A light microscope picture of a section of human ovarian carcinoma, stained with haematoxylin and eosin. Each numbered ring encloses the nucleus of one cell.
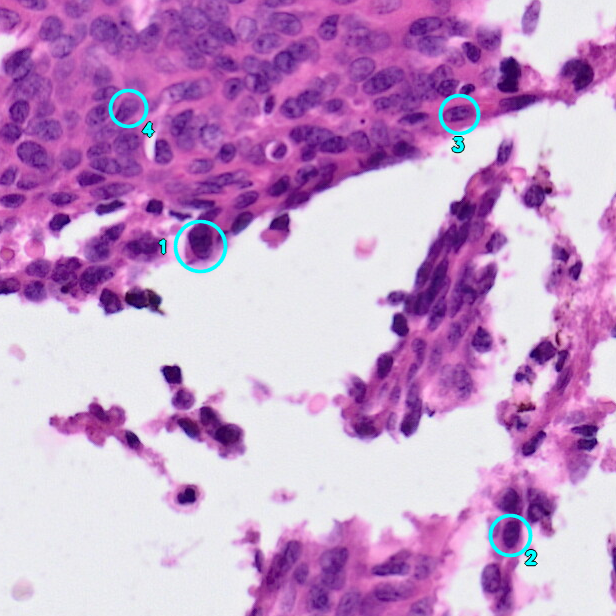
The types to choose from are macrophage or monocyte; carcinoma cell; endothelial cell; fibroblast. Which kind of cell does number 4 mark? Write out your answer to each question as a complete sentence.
The identity of cell 4 is that of a carcinoma cell.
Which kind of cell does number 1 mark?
Of the numbered cells, the one labelled 1 is a carcinoma cell.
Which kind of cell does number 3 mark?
In the tissue shown, cell 3 is an endothelial cell.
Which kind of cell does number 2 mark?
Identified as a carcinoma cell is the cell bearing the number 2.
